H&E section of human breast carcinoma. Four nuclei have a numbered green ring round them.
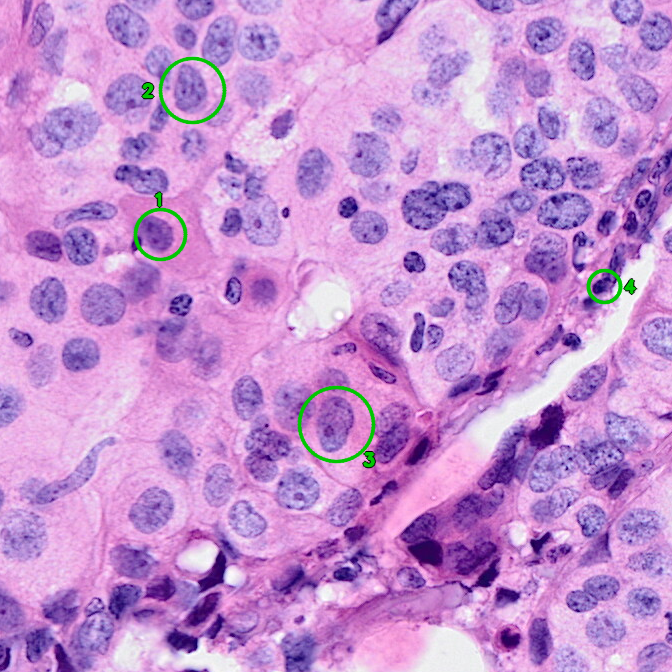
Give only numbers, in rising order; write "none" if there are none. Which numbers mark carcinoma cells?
1, 2, 3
